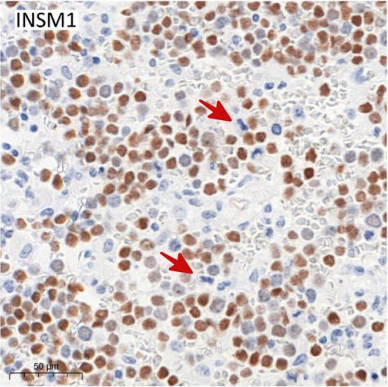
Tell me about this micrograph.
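Loosely arranged round tumour cells with round nuclei, most nuclei stained brown and the cytoplasm pale. A few cells have blue, unstained nuclei scattered among the brown ones. Pale stroma and red blood cells lie between the cells.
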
